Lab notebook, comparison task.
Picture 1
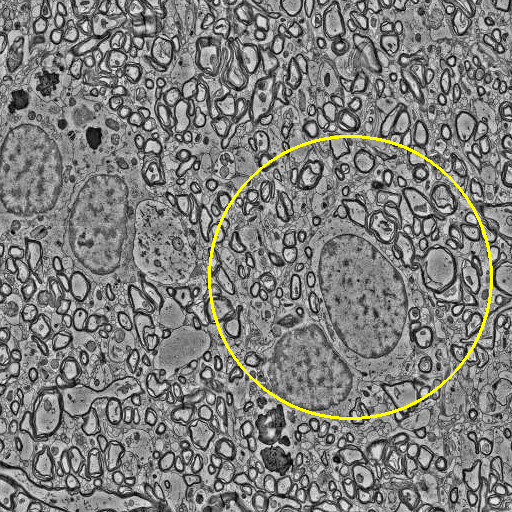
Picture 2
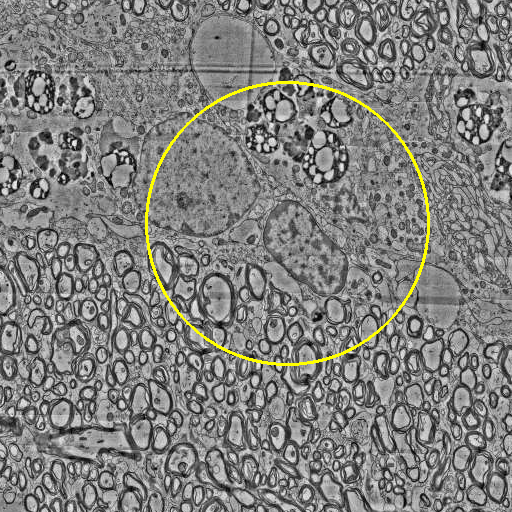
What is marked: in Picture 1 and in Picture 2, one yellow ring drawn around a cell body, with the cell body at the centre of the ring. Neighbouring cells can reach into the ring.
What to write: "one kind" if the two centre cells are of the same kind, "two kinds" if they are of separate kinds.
one kind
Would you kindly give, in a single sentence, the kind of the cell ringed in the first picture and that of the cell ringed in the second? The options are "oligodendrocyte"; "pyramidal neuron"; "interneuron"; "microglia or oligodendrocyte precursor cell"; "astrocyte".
Each of the ringed cells, first and second, is a microglial cell or oligodendrocyte precursor cell.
